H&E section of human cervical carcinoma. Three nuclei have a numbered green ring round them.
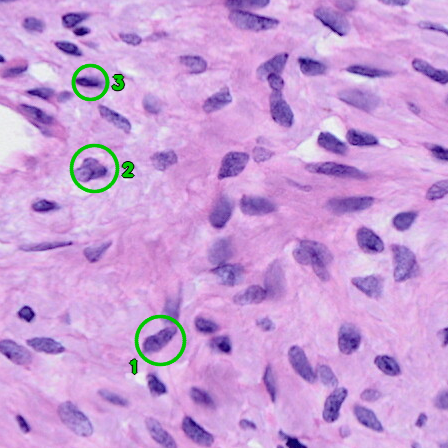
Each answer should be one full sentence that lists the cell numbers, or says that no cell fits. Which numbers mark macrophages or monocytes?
Only the cell numbered 2 qualifies as a macrophage or monocyte among the marked cells.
